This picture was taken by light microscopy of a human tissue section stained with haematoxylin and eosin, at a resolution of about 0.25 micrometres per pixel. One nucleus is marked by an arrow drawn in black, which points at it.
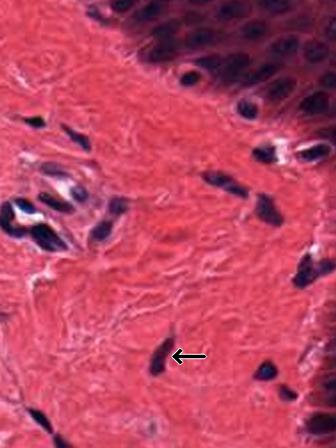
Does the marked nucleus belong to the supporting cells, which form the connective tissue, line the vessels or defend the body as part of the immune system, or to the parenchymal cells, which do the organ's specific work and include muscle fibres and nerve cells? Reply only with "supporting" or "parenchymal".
supporting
